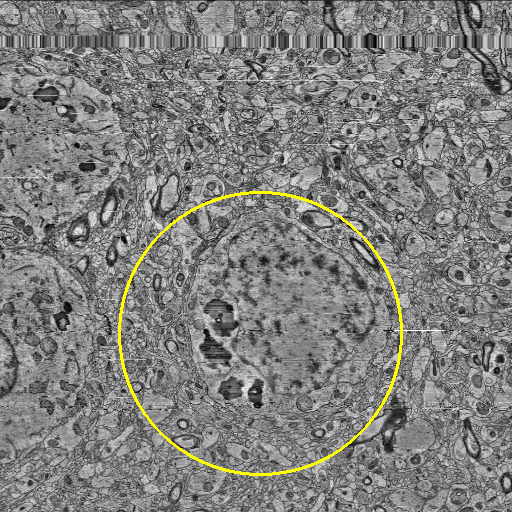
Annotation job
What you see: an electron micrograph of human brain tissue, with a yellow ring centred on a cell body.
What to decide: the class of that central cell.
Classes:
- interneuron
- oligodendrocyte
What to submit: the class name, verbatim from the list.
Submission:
interneuron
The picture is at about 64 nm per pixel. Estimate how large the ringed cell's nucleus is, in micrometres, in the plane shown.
The nucleus works out at approximately 12 by 10 micrometres in this plane.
